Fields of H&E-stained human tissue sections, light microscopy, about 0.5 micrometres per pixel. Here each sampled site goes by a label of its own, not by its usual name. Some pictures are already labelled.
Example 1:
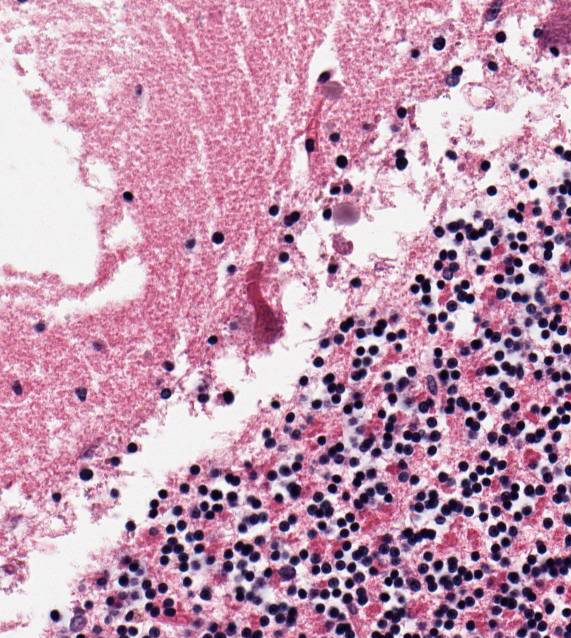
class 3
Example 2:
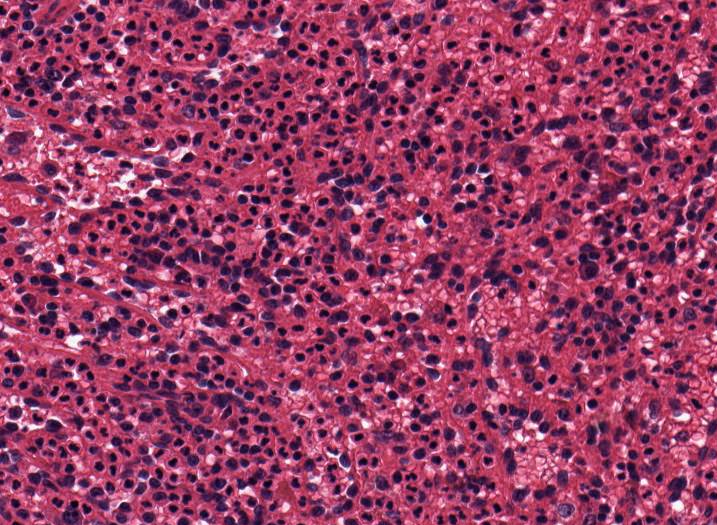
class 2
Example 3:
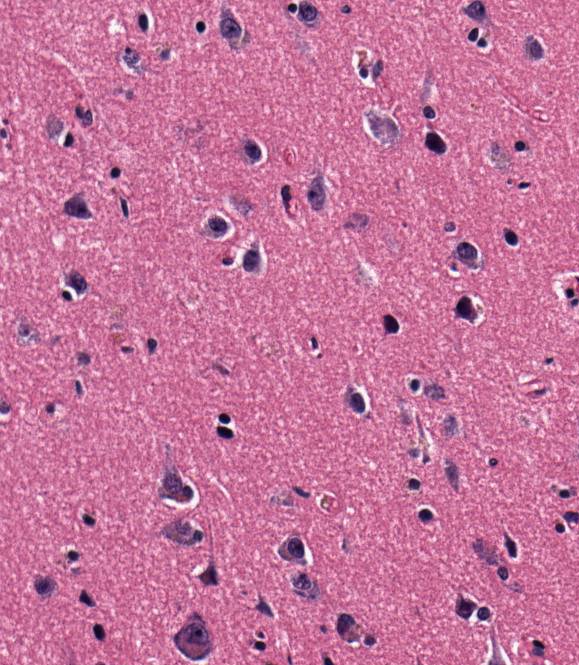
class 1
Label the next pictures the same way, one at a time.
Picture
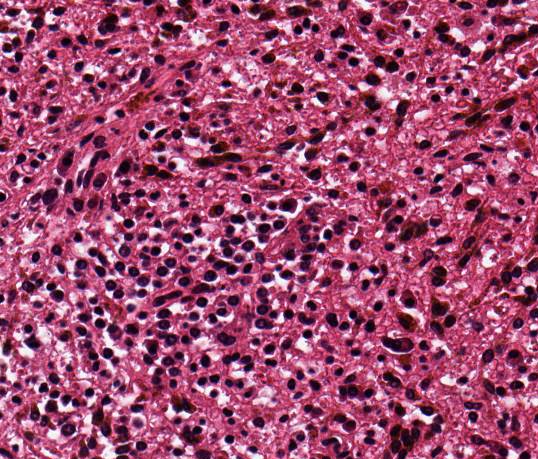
class 2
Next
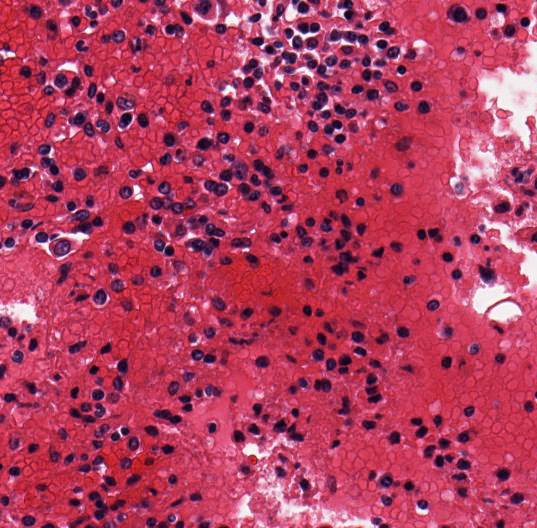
class 2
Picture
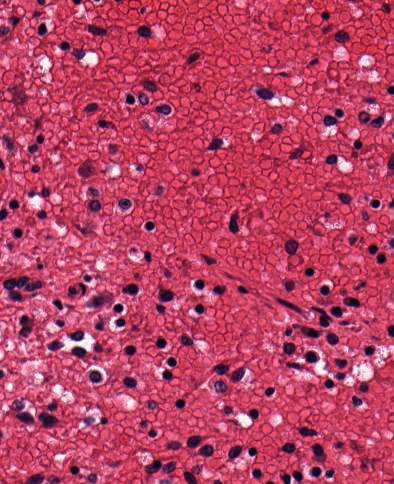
class 2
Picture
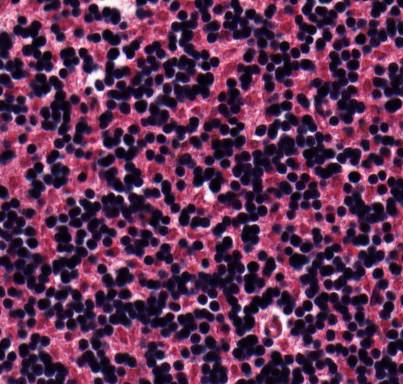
class 3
